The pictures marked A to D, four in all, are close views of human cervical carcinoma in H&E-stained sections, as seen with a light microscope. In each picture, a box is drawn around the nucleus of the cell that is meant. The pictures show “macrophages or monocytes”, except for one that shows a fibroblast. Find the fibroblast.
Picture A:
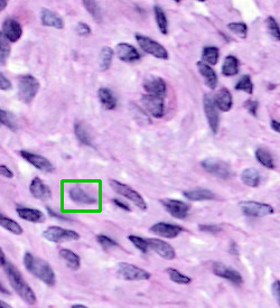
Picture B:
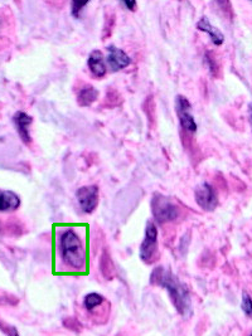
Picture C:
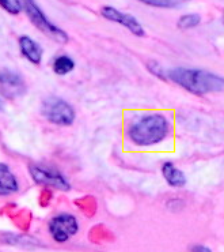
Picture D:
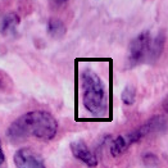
A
